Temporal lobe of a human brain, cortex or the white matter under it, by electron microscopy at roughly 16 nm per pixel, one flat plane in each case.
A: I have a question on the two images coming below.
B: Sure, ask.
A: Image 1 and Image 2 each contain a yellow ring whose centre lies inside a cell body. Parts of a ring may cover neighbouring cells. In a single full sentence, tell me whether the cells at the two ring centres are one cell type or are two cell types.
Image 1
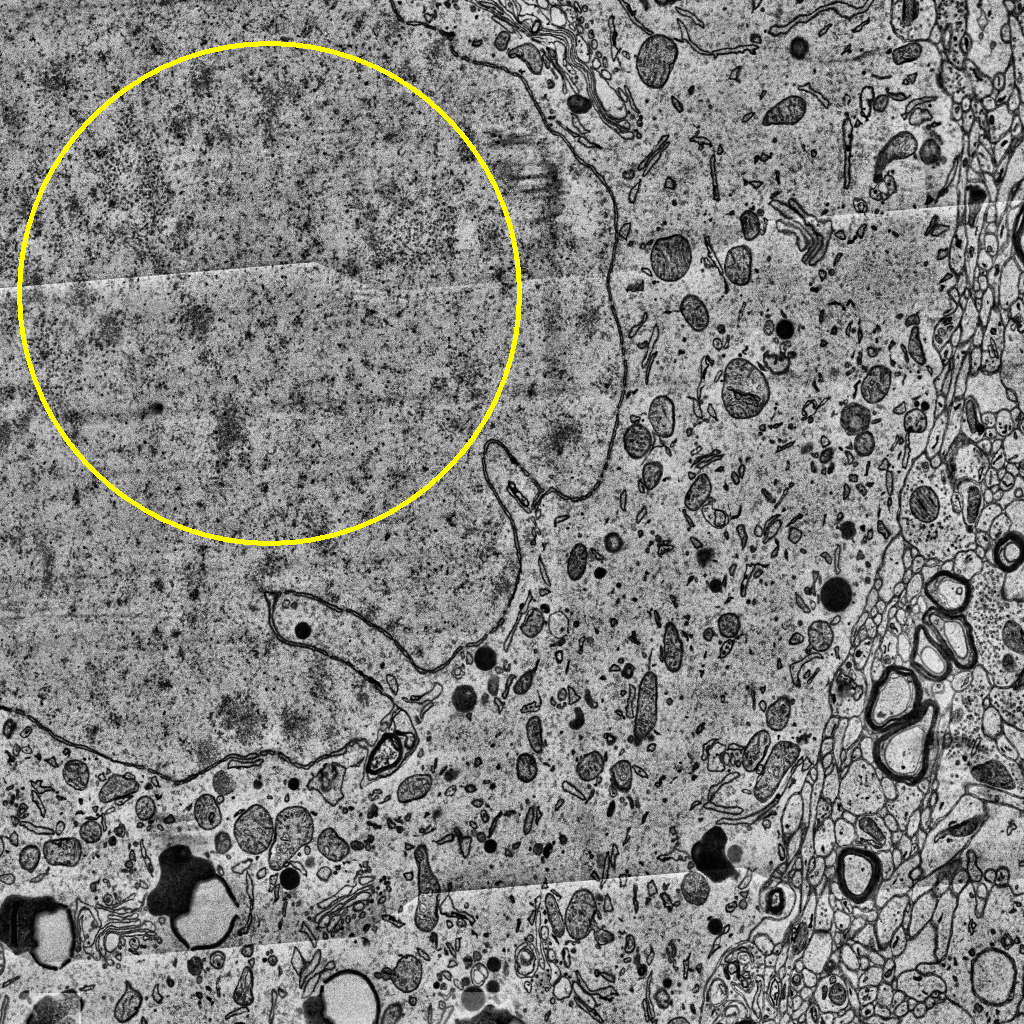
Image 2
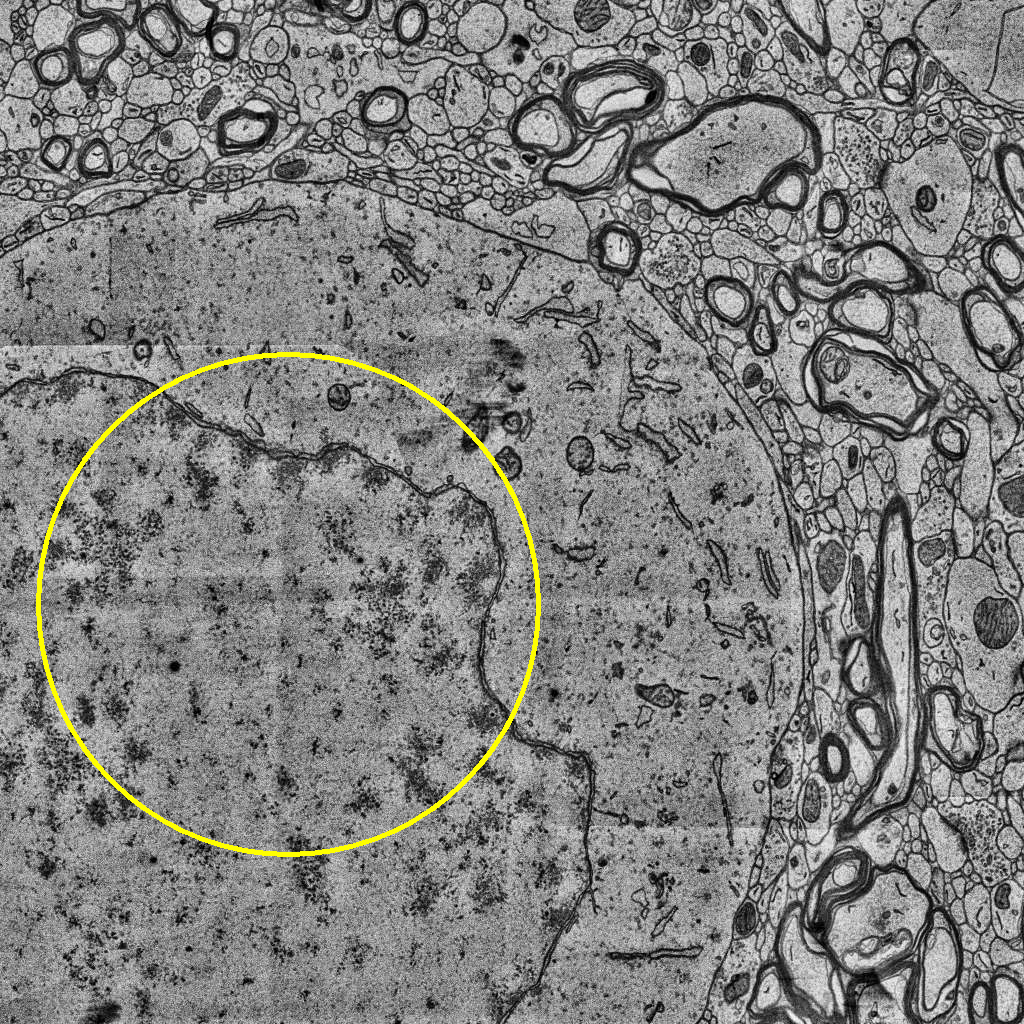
As for the ring-centre cells, the one in Image 1 and the one in Image 2 are one cell type.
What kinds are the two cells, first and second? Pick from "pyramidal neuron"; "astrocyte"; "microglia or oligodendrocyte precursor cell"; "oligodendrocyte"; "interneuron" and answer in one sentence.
Each of the two pictures has a pyramidal neuron at the ring centre.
